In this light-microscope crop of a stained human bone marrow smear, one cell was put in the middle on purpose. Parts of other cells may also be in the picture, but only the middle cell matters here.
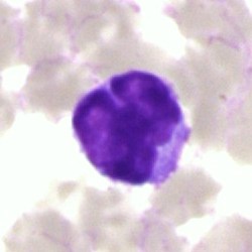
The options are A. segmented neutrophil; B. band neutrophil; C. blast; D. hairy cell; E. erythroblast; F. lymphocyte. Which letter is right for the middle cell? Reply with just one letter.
F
